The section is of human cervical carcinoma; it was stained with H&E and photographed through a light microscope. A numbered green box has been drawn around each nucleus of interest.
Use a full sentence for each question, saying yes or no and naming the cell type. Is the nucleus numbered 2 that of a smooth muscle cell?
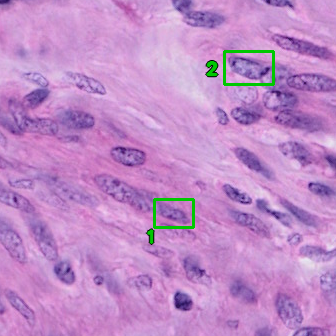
No, what number 2 shows is an endothelial cell, not a smooth muscle cell.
